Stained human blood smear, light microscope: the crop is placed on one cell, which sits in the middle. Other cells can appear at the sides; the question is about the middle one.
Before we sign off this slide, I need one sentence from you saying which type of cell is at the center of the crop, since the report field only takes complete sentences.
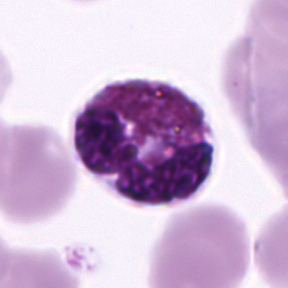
The target cell in the middle of the crop is an eosinophil.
